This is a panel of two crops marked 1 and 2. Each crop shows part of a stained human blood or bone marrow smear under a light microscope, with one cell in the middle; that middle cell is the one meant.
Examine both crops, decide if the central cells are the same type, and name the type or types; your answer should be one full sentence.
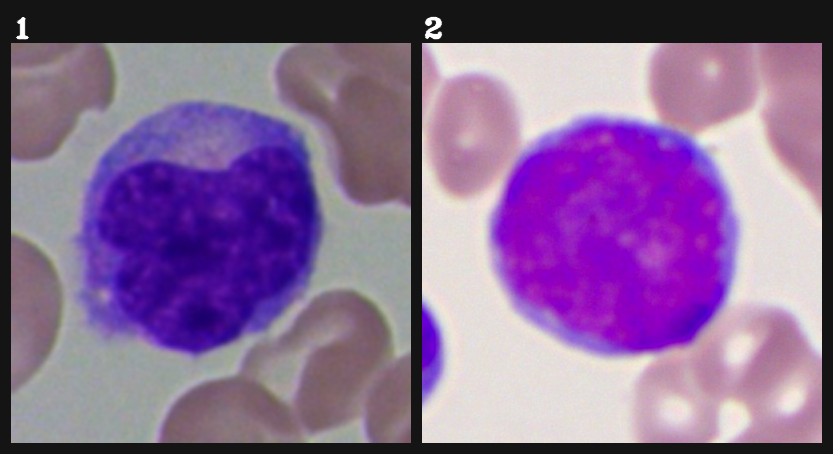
No, the central cell of crop 1 is a monocyte; that of crop 2 is a blast.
